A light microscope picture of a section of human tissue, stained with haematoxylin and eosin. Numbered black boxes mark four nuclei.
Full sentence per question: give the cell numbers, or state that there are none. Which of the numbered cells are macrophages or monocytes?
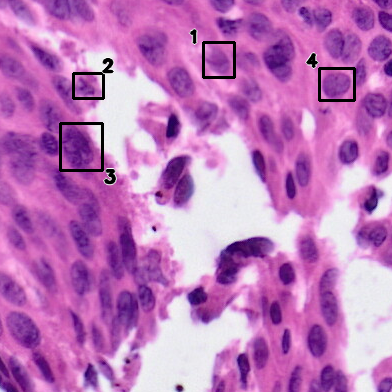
Among the numbered cells, cell 2 alone is a macrophage or monocyte.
